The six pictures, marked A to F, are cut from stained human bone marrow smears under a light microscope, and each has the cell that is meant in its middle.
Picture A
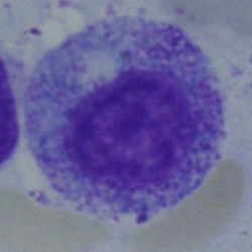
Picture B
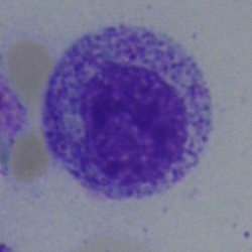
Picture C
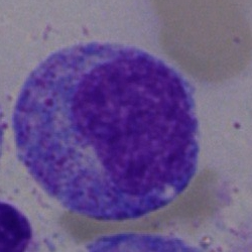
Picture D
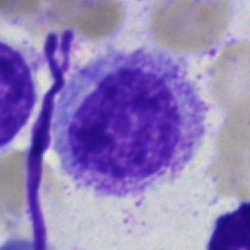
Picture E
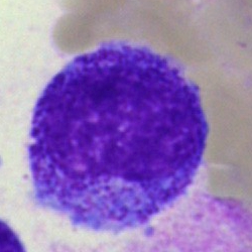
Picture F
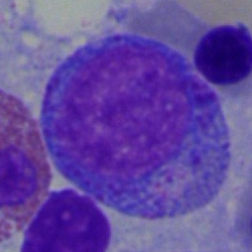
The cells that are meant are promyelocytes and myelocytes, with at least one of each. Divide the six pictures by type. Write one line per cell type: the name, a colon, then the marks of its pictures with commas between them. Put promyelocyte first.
promyelocyte: A, C, E, F
myelocyte: B, D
